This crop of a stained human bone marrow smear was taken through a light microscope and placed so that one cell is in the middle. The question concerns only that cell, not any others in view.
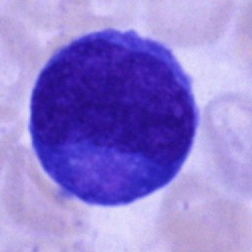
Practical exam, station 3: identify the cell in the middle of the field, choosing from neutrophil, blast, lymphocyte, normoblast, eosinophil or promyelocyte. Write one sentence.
The cell of interest, located centrally, is a blast.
